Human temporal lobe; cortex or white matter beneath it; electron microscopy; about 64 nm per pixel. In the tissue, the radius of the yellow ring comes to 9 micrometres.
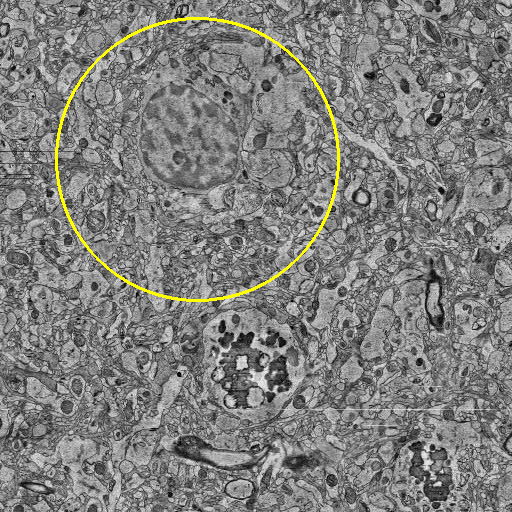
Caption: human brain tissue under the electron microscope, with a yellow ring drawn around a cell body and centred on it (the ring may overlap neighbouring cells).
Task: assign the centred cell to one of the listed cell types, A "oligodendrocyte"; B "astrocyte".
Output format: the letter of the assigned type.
A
